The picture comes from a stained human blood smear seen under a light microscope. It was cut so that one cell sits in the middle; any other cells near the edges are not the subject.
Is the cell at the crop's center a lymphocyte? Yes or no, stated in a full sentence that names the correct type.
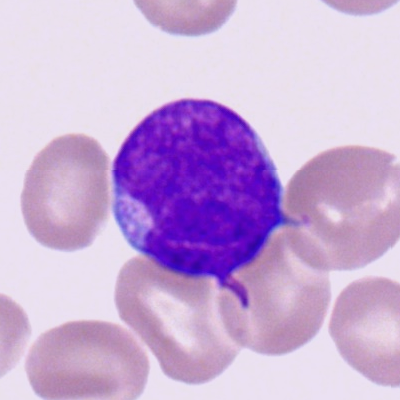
No, the cell sitting in the centre of the crop is a blast, not a lymphocyte.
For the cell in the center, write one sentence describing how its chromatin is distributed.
In this cell the chromatin is fine rather than coarsely clumped.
